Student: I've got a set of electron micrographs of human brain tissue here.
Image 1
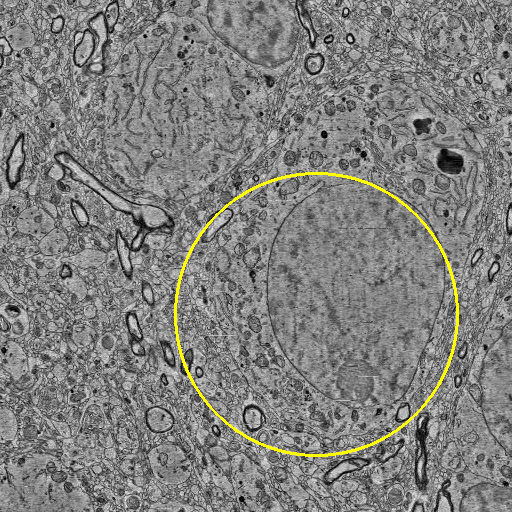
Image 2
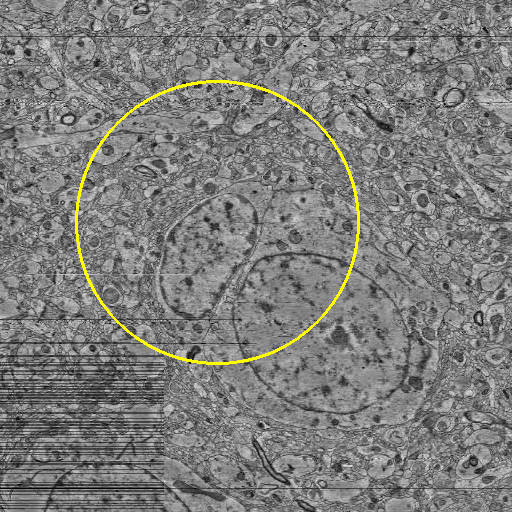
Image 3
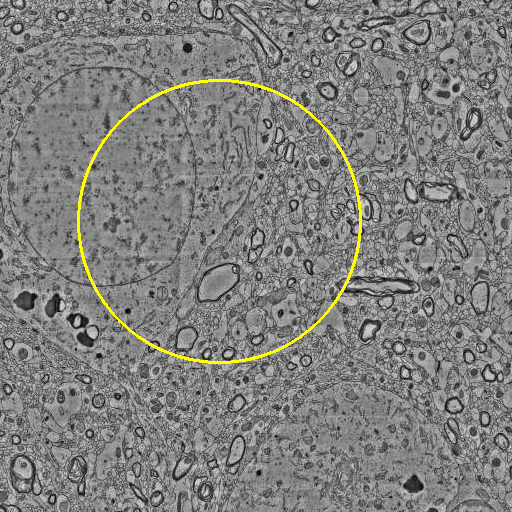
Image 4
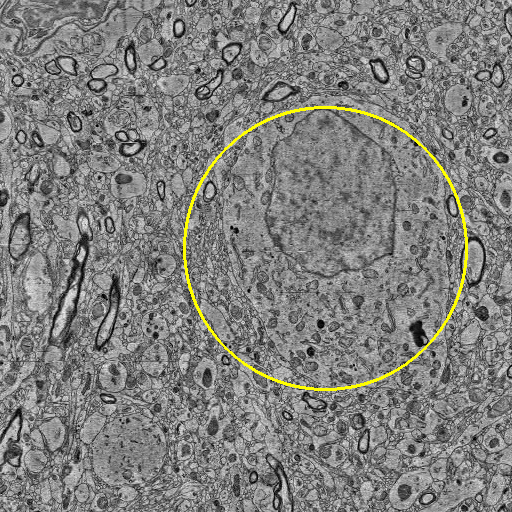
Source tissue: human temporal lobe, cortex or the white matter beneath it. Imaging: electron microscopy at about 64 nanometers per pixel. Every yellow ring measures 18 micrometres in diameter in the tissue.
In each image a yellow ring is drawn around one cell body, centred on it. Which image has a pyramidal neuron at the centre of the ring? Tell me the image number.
4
